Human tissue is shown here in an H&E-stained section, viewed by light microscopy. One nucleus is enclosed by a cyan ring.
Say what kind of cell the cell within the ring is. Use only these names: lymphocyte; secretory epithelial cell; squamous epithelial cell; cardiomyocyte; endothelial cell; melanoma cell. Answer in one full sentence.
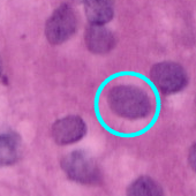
At the level of cell identity, the cell within the ring is a squamous epithelial cell.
